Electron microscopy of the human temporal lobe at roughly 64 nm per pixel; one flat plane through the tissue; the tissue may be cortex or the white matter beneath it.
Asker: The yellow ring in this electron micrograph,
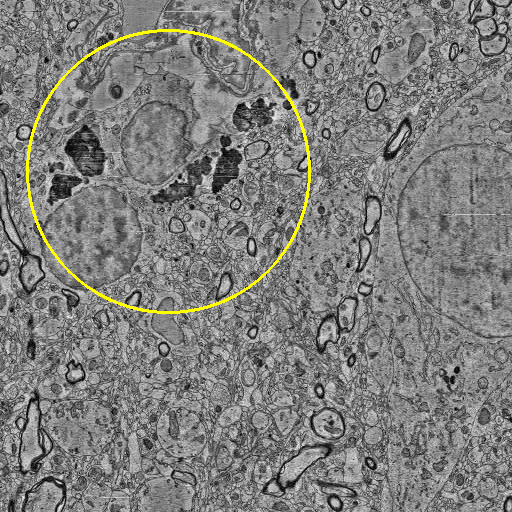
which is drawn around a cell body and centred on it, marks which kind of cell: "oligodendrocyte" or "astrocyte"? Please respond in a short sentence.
The marked cell is an oligodendrocyte.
